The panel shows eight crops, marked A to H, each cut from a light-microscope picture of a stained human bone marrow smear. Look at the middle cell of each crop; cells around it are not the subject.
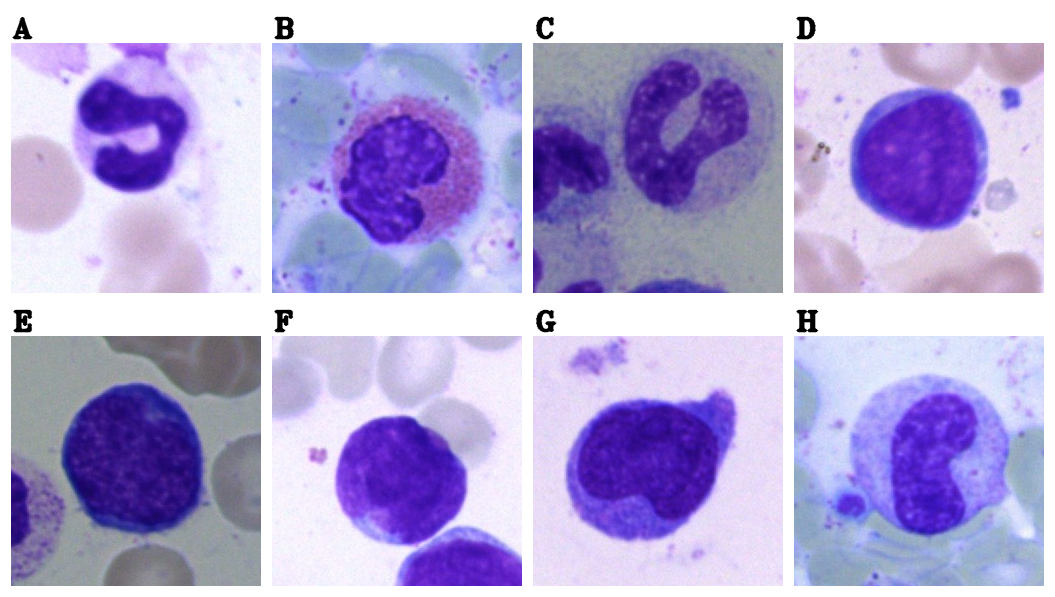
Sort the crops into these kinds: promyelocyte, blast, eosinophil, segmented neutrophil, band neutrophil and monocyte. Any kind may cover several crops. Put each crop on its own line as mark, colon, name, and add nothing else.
A: segmented neutrophil
B: eosinophil
C: band neutrophil
D: blast
E: blast
F: blast
G: blast
H: band neutrophil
